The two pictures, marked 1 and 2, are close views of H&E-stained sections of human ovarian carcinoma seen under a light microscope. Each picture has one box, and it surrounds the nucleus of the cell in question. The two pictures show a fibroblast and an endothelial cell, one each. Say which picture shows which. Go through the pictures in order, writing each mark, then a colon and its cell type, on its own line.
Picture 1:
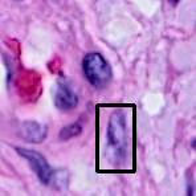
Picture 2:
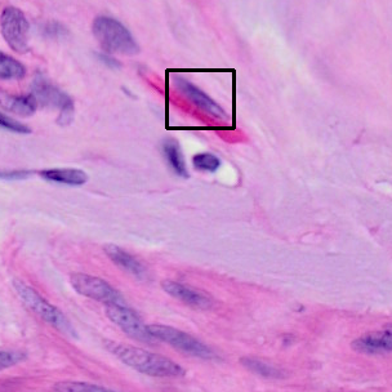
1: fibroblast
2: endothelial cell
